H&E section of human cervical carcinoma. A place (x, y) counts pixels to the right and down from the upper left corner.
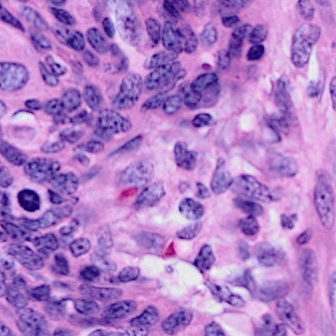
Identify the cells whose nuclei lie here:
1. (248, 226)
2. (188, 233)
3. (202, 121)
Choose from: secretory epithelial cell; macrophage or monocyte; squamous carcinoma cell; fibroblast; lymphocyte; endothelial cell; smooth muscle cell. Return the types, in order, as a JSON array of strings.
["lymphocyte", "endothelial cell", "lymphocyte"]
